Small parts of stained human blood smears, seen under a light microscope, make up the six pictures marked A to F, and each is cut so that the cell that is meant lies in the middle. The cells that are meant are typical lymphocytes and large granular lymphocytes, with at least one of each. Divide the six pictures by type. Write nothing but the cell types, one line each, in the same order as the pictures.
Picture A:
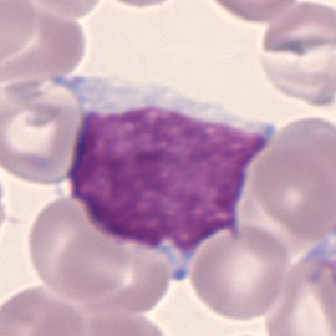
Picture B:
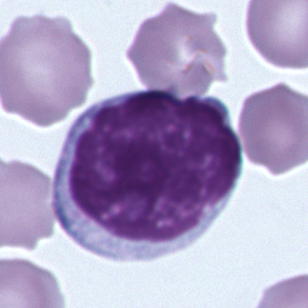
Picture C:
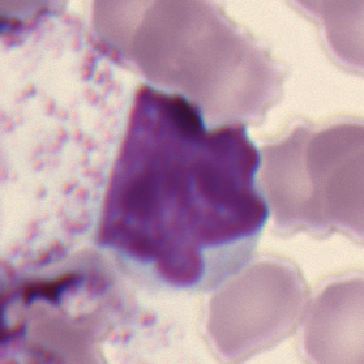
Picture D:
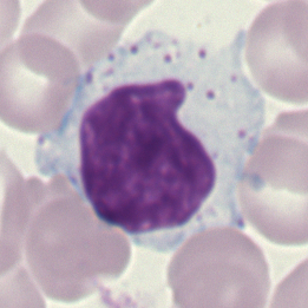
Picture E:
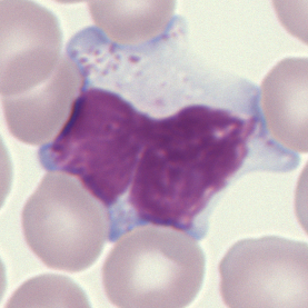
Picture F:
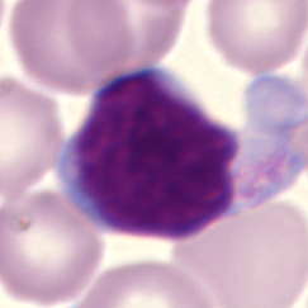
typical lymphocyte
typical lymphocyte
large granular lymphocyte
large granular lymphocyte
large granular lymphocyte
large granular lymphocyte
